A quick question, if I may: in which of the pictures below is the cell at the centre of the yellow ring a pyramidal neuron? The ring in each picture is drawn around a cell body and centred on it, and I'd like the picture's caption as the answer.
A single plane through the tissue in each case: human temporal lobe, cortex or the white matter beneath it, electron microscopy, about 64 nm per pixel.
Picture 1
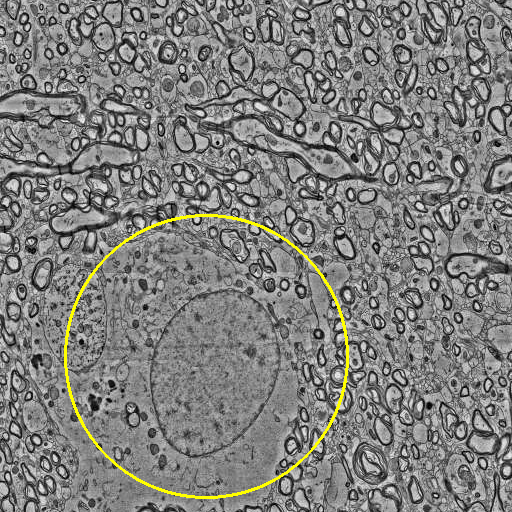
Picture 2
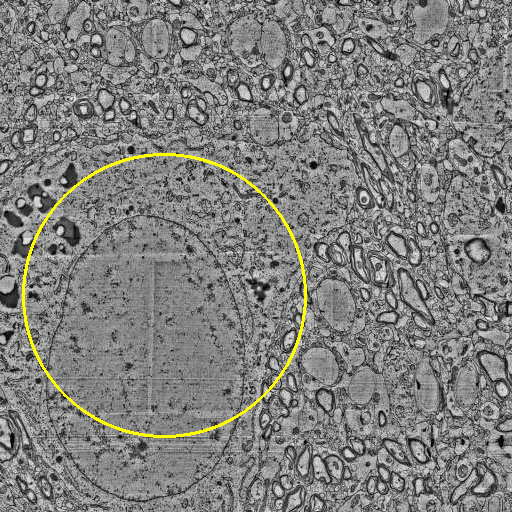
Picture 2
